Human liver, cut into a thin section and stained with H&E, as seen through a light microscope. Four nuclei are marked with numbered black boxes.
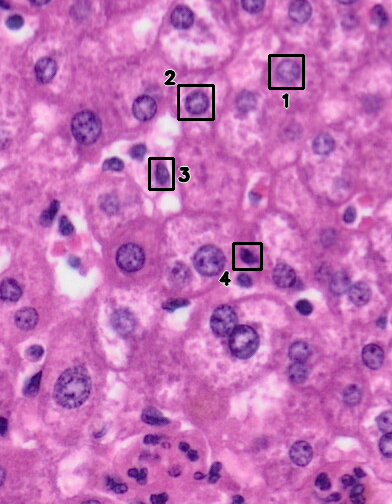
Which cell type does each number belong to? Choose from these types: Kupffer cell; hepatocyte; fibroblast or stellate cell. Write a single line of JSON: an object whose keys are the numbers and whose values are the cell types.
{"1": "hepatocyte", "2": "hepatocyte", "3": "Kupffer cell", "4": "fibroblast or stellate cell"}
